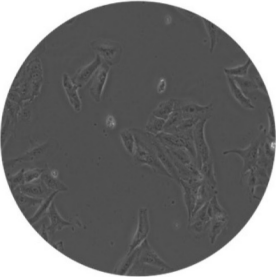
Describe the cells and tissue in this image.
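The cells are sparse, lying singly or in small loose groups with wide empty spaces between them. Many cells are broader and more irregular or polygonal than spindle-shaped, though some still have tapering extensions. A few small, bright, rounded cells with halos are scattered across the field.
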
